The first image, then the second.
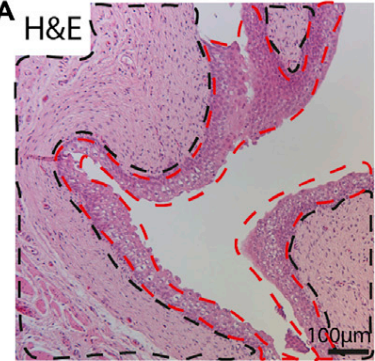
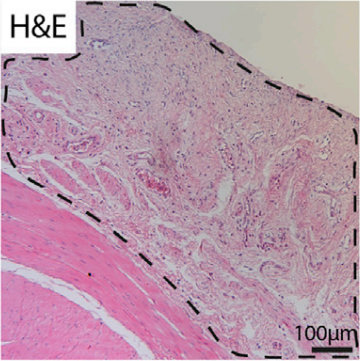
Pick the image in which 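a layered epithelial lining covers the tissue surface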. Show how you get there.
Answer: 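The first image. Second image: the free surface is bare fibrous tissue without a cellular lining. First image: a thick, nucleus-rich multilayered lining borders the lumen.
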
